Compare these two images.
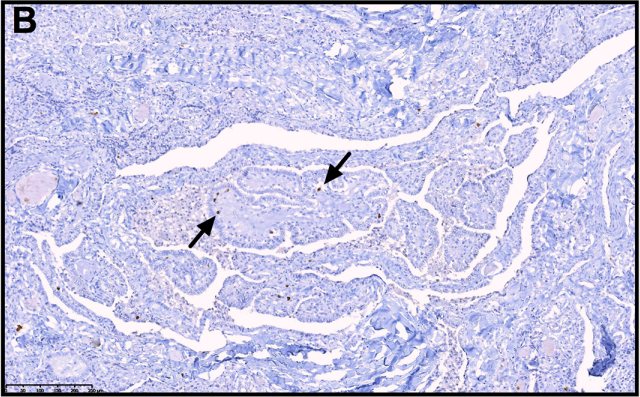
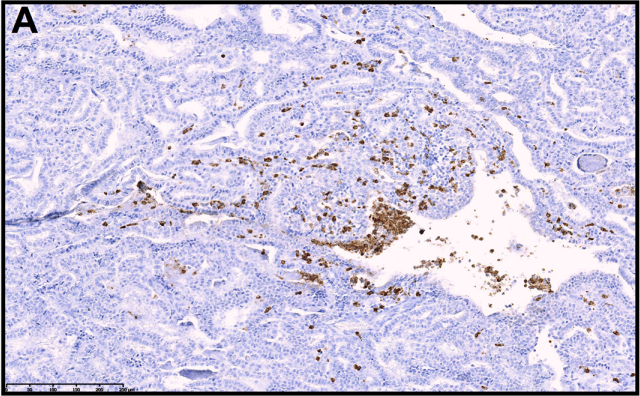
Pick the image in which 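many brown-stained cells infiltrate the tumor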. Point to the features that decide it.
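First image: only a few isolated, faintly brown cells, marked by arrows. Second image: dense clusters and many scattered brown cells across the field. So: the second image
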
